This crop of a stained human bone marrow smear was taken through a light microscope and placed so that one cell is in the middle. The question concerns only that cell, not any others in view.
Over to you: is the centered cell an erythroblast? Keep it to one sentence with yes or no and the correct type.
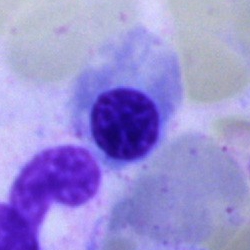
Yes, the cell in the middle is recognised as an erythroblast.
